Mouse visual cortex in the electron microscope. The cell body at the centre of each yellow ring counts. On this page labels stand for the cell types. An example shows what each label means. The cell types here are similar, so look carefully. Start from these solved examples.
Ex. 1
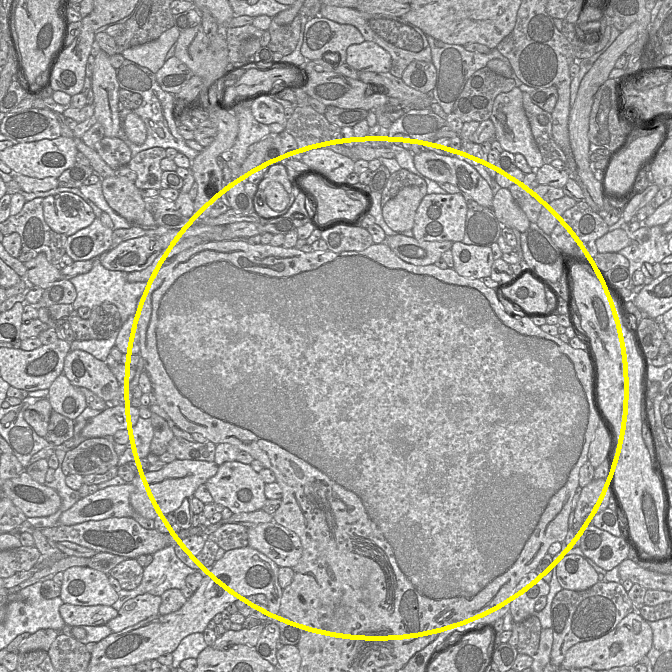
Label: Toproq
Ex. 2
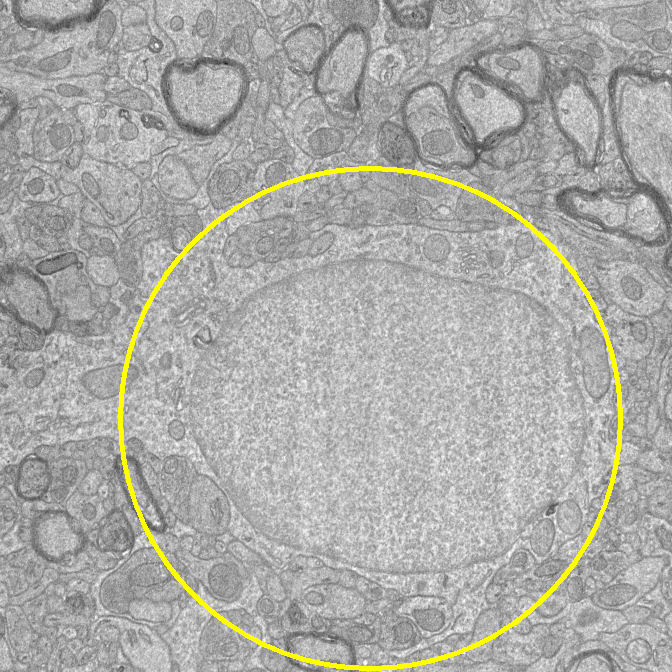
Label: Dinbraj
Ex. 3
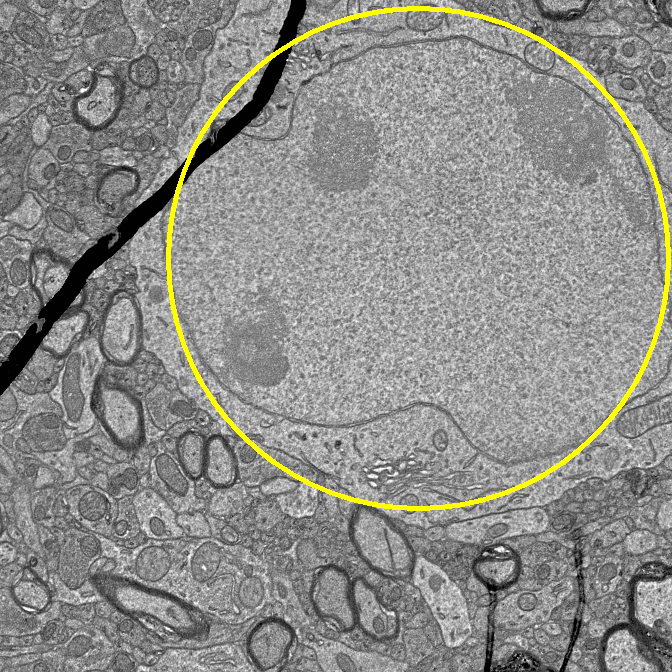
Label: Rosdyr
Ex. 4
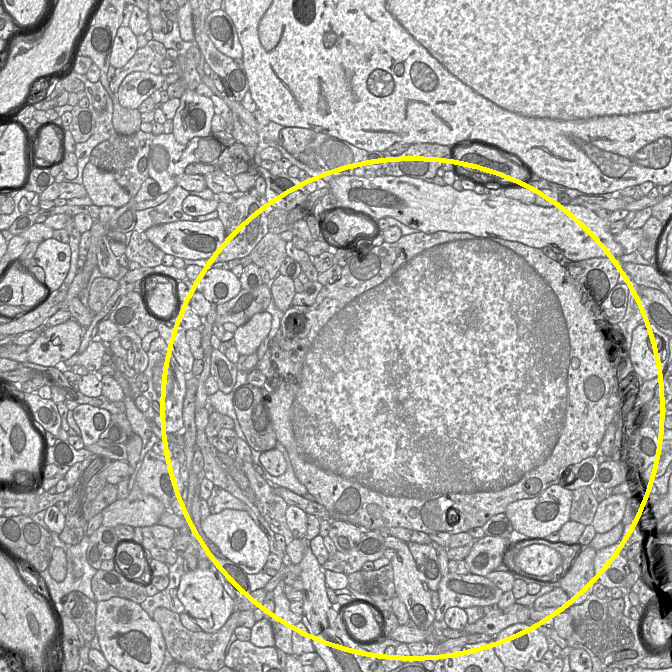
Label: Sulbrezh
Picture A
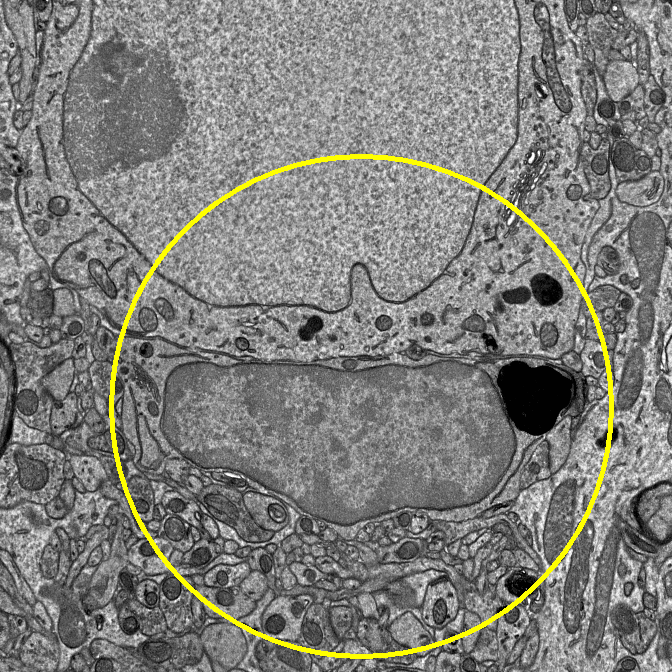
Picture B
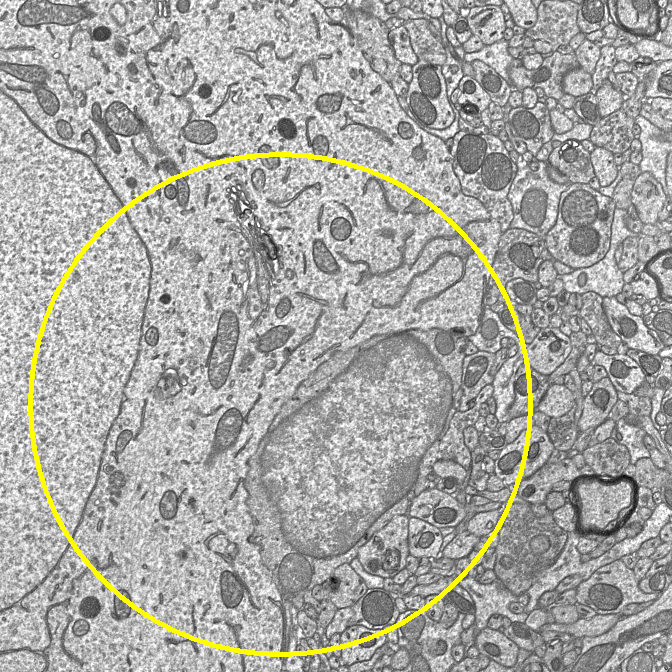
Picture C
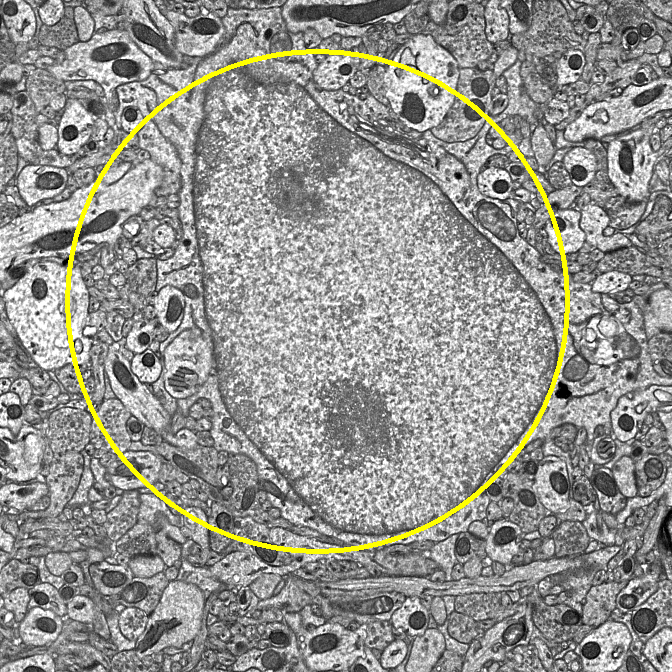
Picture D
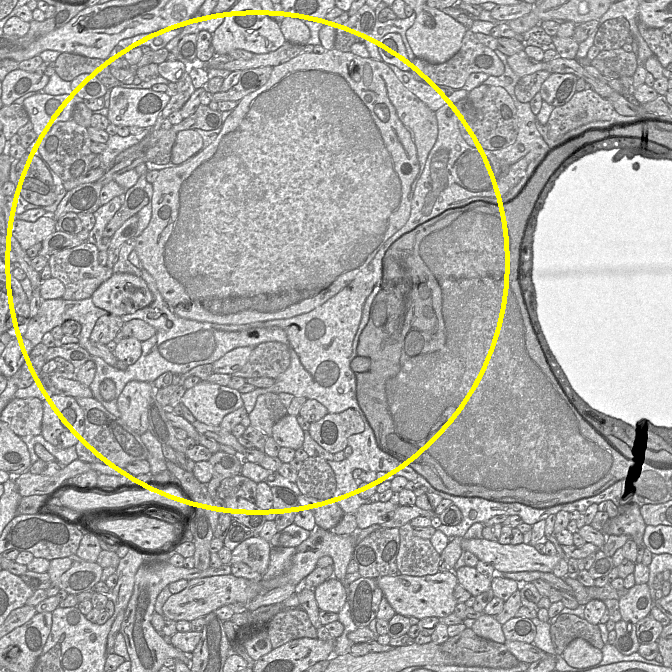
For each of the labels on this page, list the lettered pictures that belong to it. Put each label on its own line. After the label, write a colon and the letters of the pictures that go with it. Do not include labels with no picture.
Toproq: A, D
Dinbraj: C
Sulbrezh: B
